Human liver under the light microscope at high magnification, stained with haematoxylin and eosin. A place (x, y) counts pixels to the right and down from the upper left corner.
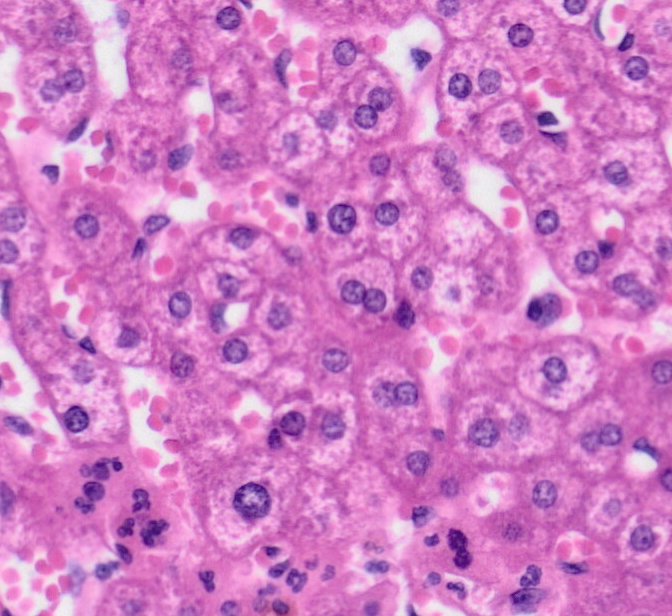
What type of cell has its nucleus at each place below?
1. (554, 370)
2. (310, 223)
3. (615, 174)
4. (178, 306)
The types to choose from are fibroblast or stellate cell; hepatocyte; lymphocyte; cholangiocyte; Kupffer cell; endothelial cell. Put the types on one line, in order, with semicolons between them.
hepatocyte; fibroblast or stellate cell; hepatocyte; hepatocyte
